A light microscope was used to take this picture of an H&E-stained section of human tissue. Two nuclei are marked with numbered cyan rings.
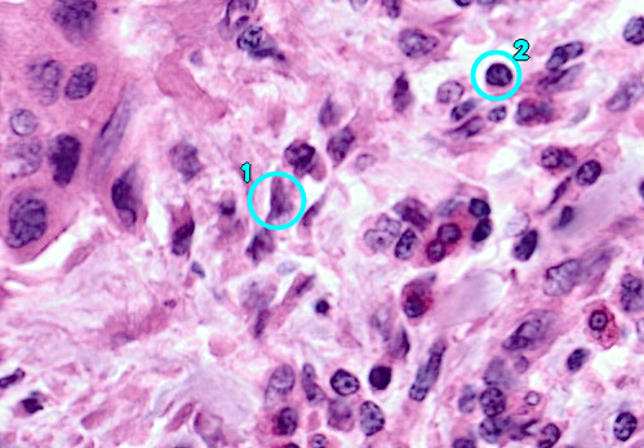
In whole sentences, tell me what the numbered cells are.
Cell 1 is a fibroblast and cell 2 is a lymphocyte.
